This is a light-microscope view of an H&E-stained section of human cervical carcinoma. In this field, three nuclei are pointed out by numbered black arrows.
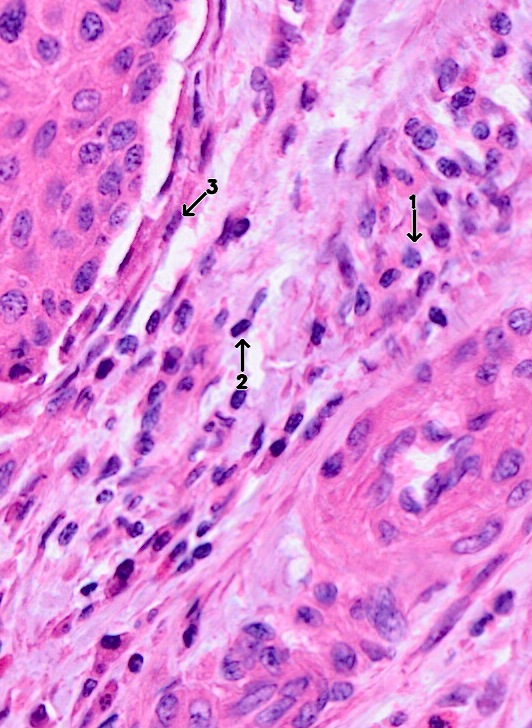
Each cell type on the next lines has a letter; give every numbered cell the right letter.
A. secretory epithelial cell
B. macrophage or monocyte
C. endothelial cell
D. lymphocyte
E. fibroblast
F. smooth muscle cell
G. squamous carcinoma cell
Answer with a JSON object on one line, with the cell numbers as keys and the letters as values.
{"1": "D", "2": "D", "3": "E"}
